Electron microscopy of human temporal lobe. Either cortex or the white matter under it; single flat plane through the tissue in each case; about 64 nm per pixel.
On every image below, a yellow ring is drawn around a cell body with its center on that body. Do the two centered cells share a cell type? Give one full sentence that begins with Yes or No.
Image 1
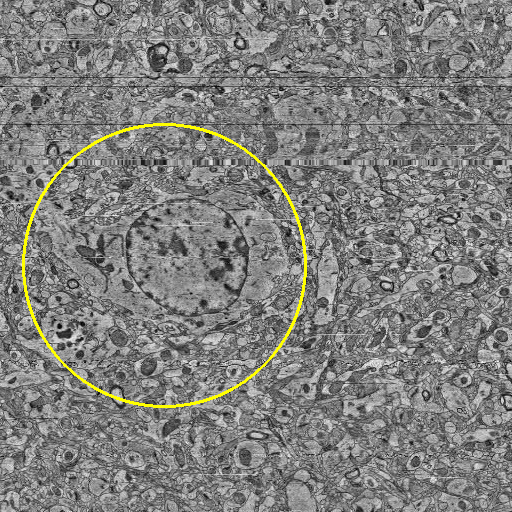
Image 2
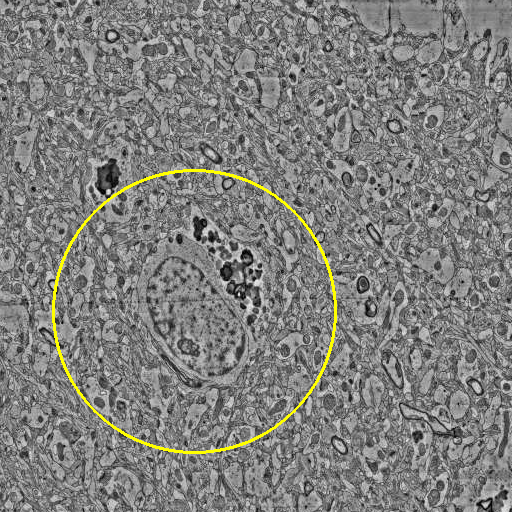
No, the centered cells in the two images are of two separate cell types.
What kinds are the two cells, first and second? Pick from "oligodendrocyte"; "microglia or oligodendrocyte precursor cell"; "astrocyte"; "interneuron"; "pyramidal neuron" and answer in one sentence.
The second picture holds a microglial cell or oligodendrocyte precursor cell in its ring, and the first holds an astrocyte.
